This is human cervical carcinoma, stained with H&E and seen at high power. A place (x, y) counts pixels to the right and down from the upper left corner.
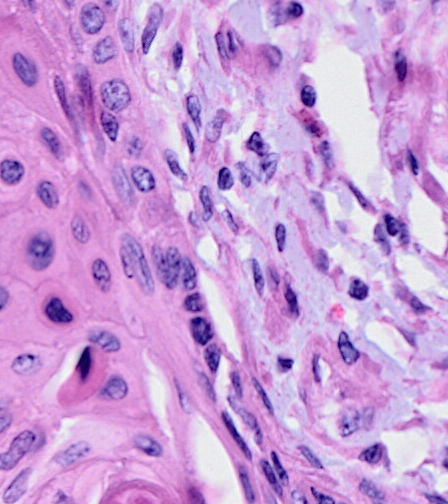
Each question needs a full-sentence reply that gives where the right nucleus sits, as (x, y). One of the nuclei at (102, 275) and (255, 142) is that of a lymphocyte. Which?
Between the pair, the nucleus at (255, 142) belongs to a lymphocyte.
